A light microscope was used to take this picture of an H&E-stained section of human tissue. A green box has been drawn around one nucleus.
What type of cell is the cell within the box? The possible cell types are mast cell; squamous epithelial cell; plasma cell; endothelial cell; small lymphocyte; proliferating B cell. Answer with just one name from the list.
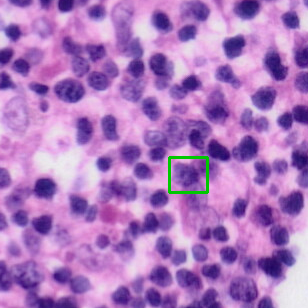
proliferating B cell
